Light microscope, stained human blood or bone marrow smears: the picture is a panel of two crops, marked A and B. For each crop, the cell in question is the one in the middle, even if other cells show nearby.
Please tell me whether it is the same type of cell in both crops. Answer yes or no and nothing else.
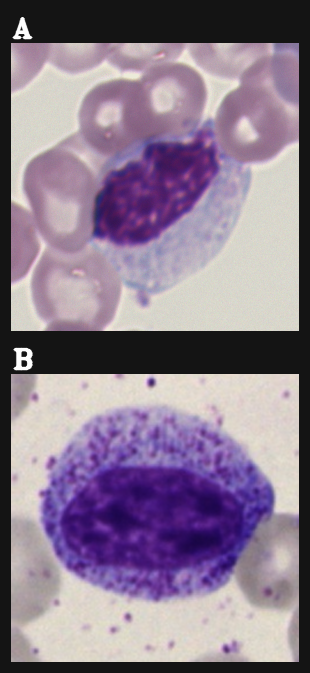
no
